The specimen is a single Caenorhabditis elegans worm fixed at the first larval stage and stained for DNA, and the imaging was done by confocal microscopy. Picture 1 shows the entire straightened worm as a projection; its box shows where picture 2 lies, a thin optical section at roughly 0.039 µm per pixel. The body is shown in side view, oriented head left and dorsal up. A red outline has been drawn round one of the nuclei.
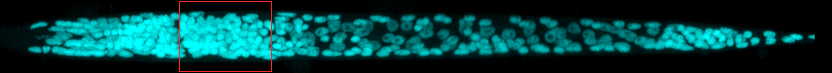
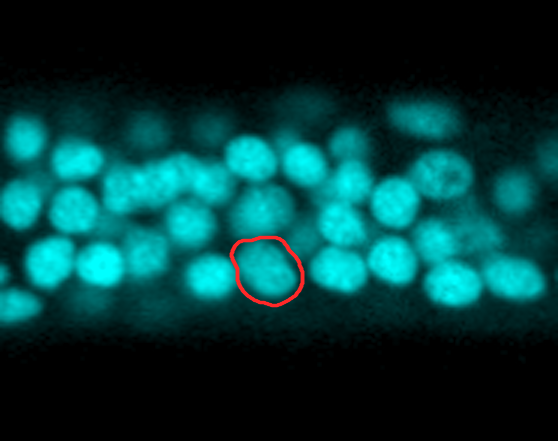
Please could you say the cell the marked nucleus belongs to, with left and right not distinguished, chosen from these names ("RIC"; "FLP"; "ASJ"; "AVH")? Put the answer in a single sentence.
The nucleus is from ASJ, a neuron.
